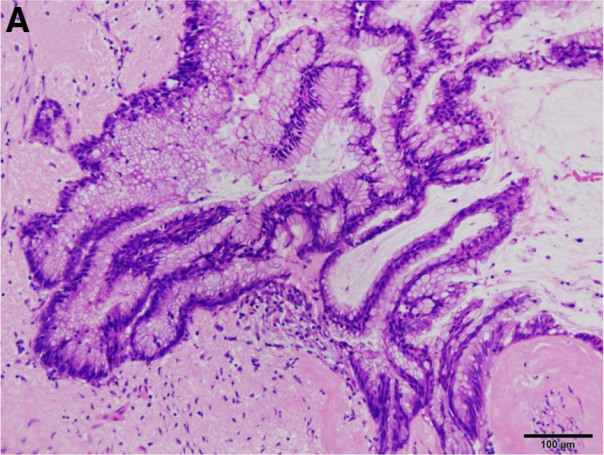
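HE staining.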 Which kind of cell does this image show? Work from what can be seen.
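Folded strips of tall columnar epithelium line papillary and glandular spaces. The cells have pale, clear apical cytoplasm filled with mucin. Nuclei are basal, elongated and crowded but without marked pleomorphism. Pale pink mucinous and fibrous material lies around the epithelium. The answer: low-grade atypical cells.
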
